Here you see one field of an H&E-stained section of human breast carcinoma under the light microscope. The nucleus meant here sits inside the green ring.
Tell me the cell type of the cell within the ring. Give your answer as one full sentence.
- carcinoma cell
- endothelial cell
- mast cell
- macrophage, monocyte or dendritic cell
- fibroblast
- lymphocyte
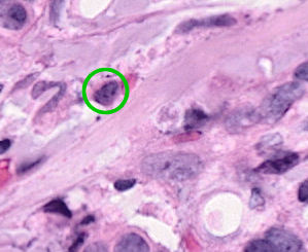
This is a mast cell.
